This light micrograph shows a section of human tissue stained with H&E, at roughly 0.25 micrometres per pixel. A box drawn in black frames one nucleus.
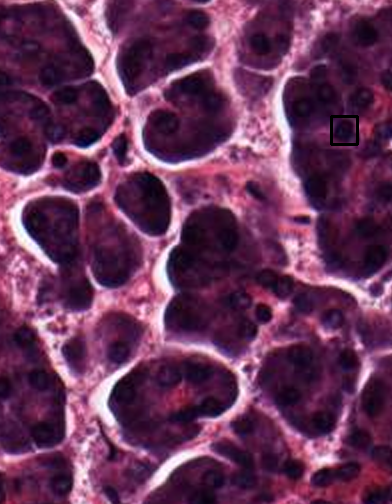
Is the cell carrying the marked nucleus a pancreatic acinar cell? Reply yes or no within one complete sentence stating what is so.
Yes, a pancreatic acinar cell holds the marked nucleus.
